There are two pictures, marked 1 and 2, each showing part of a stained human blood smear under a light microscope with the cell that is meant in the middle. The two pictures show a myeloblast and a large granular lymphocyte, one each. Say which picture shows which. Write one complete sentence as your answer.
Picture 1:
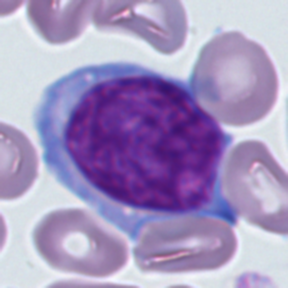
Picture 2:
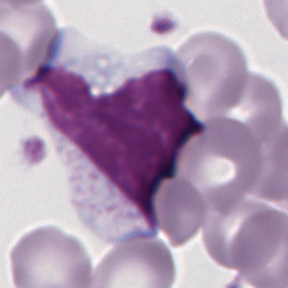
The cell in picture 1 is a myeloblast, and the one in picture 2 is a large granular lymphocyte.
